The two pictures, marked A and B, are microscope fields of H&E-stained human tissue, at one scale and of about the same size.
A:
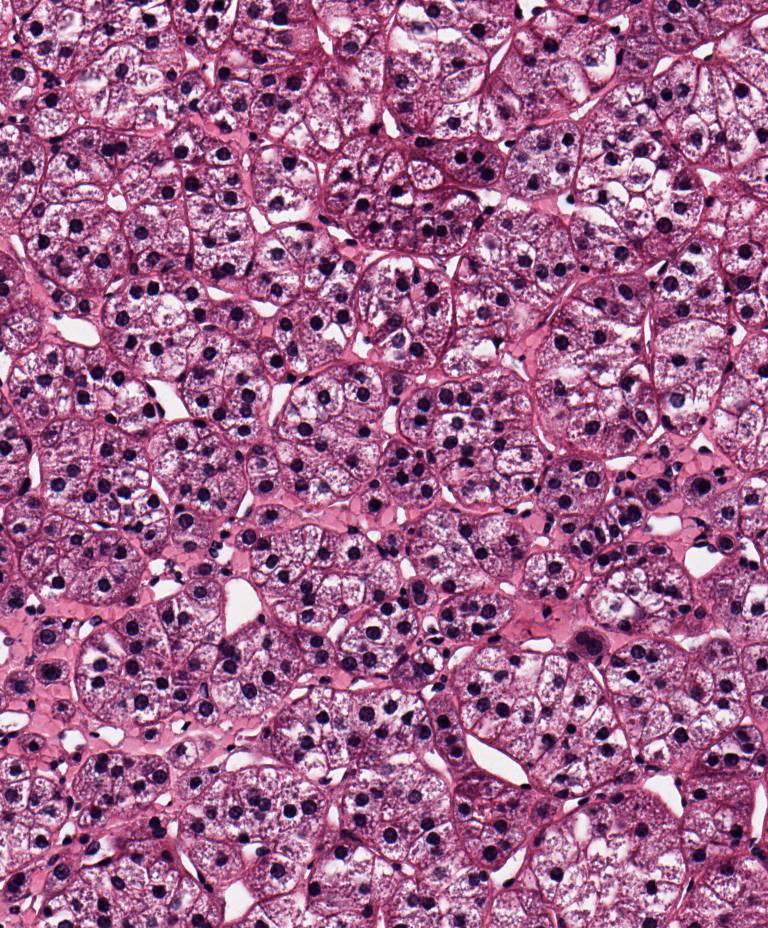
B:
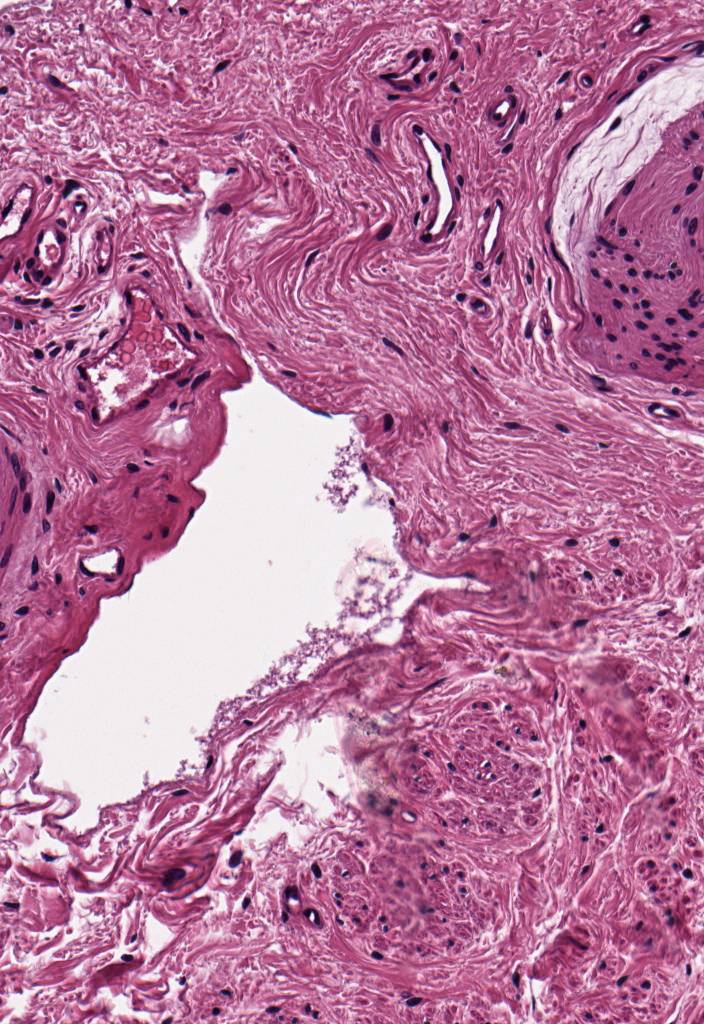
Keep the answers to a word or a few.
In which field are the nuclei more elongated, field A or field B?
B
